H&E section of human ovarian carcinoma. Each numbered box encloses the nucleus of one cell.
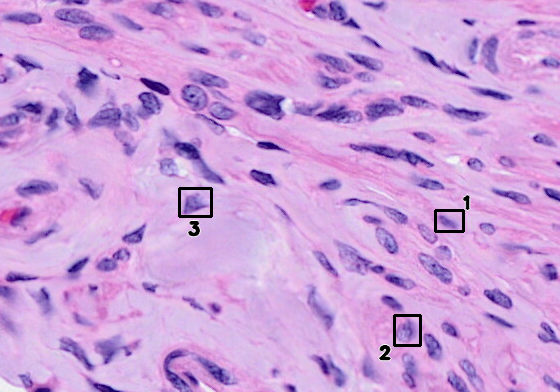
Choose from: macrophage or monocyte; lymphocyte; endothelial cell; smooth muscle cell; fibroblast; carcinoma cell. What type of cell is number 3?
fibroblast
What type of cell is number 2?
smooth muscle cell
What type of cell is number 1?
smooth muscle cell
